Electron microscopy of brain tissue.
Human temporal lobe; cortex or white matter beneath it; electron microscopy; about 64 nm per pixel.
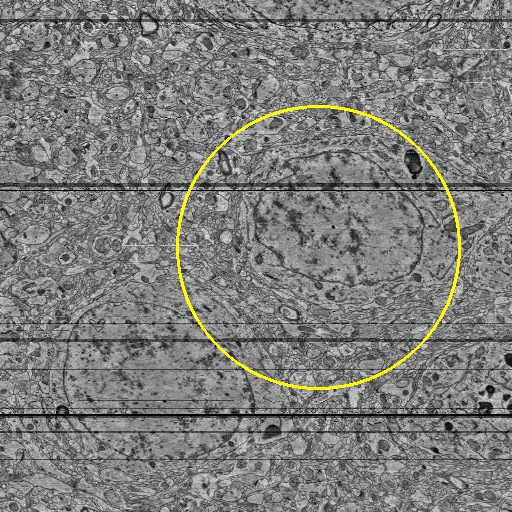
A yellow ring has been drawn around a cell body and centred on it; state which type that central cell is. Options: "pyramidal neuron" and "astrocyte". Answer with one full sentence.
The cell at the middle of the yellow ring is a pyramidal neuron in this picture.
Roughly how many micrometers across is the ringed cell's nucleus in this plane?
In this plane, approximately 11 by 9 micrometers.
